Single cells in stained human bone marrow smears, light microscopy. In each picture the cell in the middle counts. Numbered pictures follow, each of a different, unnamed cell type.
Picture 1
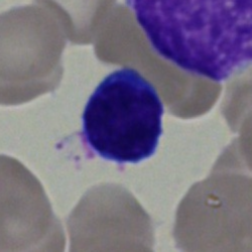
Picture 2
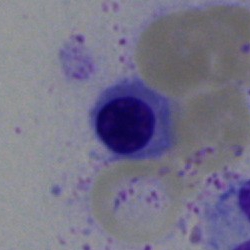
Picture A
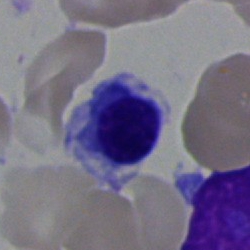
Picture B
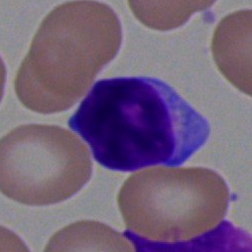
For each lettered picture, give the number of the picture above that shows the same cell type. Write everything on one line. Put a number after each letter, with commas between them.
A 2, B 1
